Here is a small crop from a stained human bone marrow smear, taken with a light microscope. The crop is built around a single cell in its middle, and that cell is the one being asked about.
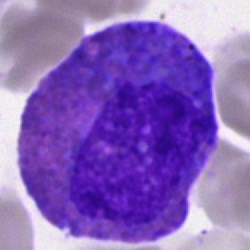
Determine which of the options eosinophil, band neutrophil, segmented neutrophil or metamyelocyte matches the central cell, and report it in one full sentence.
The cell in the middle of this crop is an eosinophil.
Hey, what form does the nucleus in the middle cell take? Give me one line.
The nucleus holds together as a single compact mass, round, oval or kidney-like.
